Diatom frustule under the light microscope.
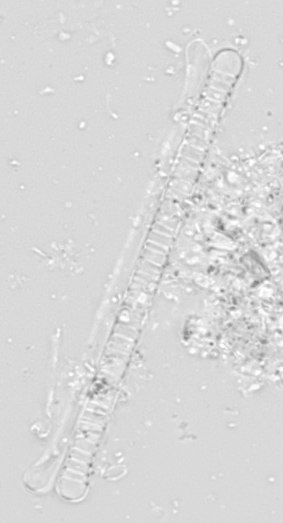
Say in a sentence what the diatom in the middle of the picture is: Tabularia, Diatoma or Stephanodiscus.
This is Diatoma.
